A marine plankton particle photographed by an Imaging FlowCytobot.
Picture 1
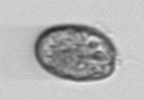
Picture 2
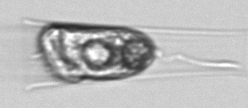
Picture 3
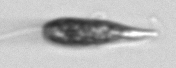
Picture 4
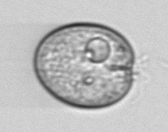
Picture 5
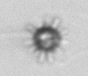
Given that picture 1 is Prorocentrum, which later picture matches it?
4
